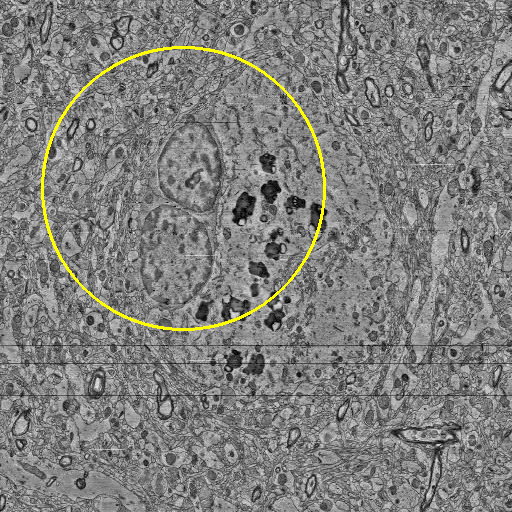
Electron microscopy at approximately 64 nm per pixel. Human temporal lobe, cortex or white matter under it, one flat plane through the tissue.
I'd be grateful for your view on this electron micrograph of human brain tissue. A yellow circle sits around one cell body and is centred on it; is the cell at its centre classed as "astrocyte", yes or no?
no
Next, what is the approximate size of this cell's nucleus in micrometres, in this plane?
In this plane the nucleus spans approximately 6 by 4 micrometers.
